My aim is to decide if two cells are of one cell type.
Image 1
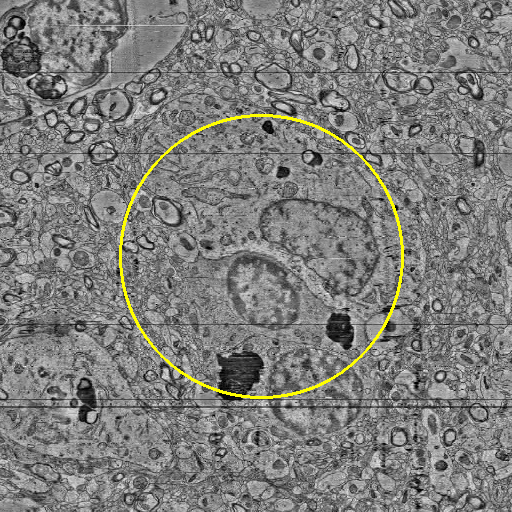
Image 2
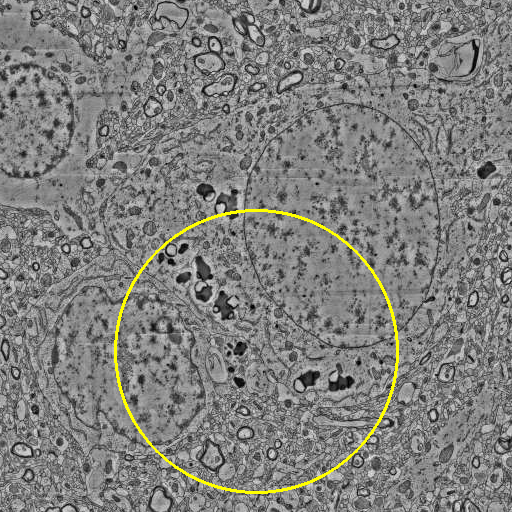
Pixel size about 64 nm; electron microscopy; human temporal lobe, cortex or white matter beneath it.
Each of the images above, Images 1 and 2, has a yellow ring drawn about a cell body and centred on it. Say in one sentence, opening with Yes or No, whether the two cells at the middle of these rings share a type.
No, in Images 1 and 2 the cells at the middle of the rings fall into two types.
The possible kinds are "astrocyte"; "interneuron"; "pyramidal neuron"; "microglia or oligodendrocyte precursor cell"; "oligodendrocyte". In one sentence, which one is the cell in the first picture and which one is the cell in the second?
The cell ringed in the second picture is a microglial cell or oligodendrocyte precursor cell, whereas the one ringed in the first is an oligodendrocyte.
